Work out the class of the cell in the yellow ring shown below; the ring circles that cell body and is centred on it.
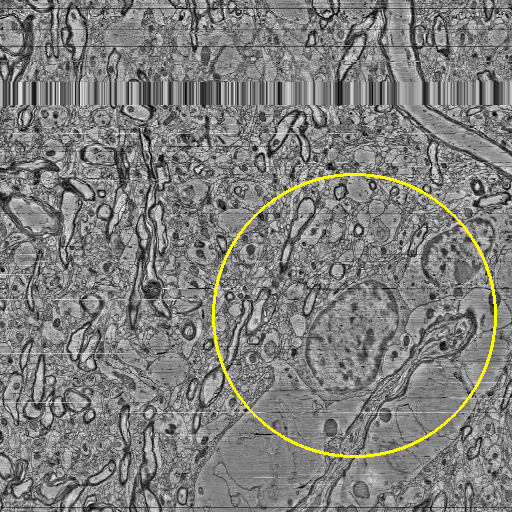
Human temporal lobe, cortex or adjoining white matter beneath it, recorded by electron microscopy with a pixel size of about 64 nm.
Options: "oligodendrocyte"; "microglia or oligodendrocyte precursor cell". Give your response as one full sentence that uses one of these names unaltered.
The body ringed in yellow, right at the ring's centre, is that of an oligodendrocyte.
